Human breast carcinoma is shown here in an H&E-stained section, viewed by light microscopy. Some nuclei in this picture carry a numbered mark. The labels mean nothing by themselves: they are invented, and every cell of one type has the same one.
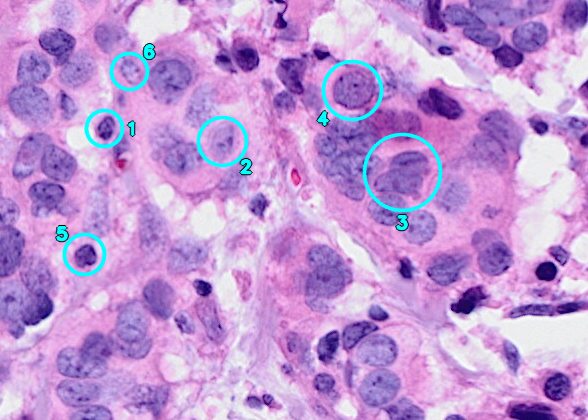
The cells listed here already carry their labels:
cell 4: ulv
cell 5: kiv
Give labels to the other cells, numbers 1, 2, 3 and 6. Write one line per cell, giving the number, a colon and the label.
1: kiv
2: ulv
3: ulv
6: ulv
